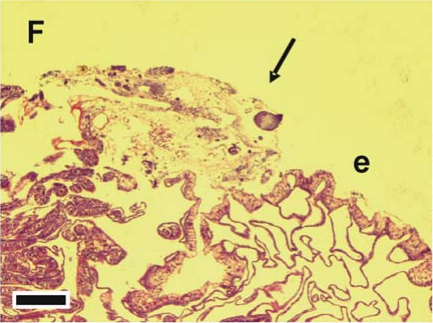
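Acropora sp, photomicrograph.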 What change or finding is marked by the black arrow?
Tissue fragmentation and necrosis.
